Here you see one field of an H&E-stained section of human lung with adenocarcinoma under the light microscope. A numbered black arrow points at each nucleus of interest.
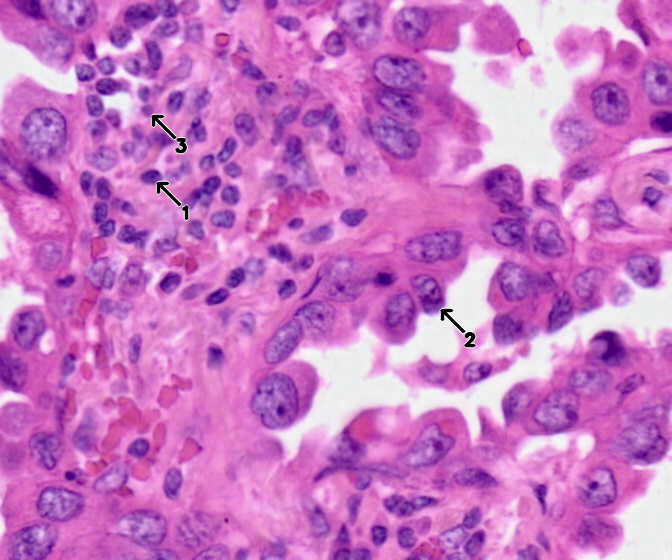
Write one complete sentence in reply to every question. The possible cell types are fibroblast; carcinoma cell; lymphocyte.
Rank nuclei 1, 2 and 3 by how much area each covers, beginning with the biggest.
Going from the biggest nucleus down to the smallest gives 2, 1, 3.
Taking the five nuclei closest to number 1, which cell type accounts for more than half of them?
Lymphocytes make up most of the five nuclei closest to number 1.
